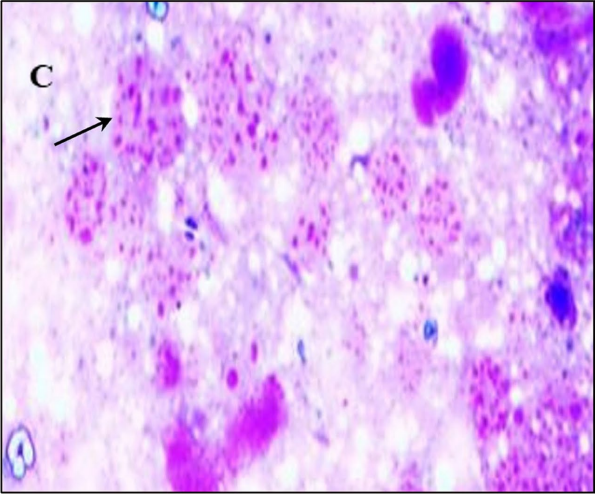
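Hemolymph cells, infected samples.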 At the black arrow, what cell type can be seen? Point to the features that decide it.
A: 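The marked cell is filled with many small pink-red round granules. Several similar granule-filled cells lie nearby.
Conclusion: Spherule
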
